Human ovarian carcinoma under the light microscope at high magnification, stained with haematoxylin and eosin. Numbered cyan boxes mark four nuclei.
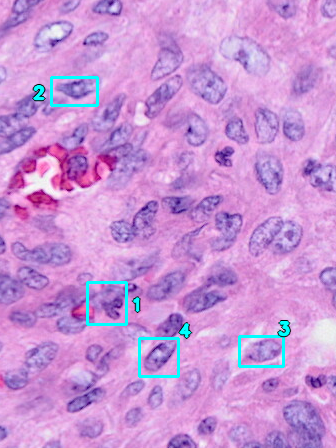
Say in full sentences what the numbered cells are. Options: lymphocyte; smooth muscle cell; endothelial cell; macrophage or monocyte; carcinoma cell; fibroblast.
Cell 1 is an endothelial cell. Cells 2, 3 and 4 are fibroblasts.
